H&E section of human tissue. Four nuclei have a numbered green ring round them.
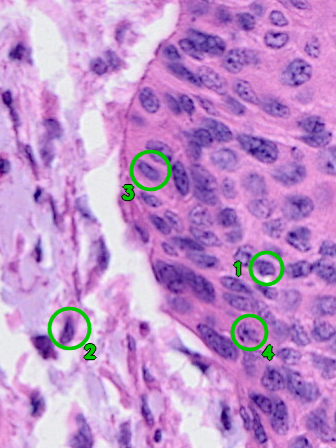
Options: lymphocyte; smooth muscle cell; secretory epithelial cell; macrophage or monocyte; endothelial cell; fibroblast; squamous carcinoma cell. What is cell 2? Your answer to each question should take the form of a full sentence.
Of the numbered cells, the one labelled 2 is a macrophage or monocyte.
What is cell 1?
Cell 1 in the field of view is a squamous carcinoma cell.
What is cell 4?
The numbered cell 4 is identified here as a squamous carcinoma cell.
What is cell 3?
As for number 3, that cell is a squamous carcinoma cell.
